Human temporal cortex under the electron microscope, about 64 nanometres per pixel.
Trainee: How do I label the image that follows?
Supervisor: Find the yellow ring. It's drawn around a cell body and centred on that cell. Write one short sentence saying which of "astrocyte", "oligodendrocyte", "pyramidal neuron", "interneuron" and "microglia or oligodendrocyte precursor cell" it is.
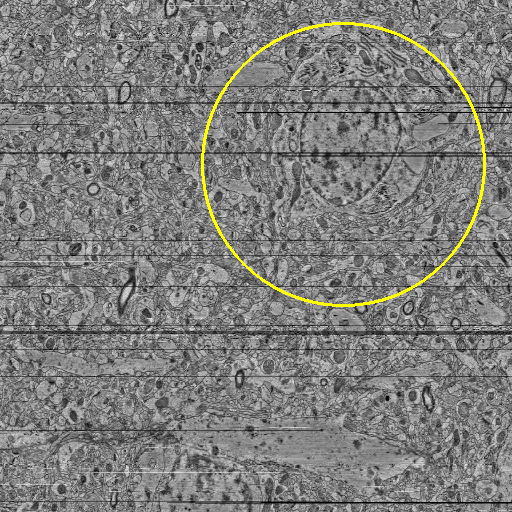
This is the cell body of an astrocyte.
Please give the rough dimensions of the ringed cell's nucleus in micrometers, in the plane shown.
About 8 by 6 micrometers for the nucleus, in this plane.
